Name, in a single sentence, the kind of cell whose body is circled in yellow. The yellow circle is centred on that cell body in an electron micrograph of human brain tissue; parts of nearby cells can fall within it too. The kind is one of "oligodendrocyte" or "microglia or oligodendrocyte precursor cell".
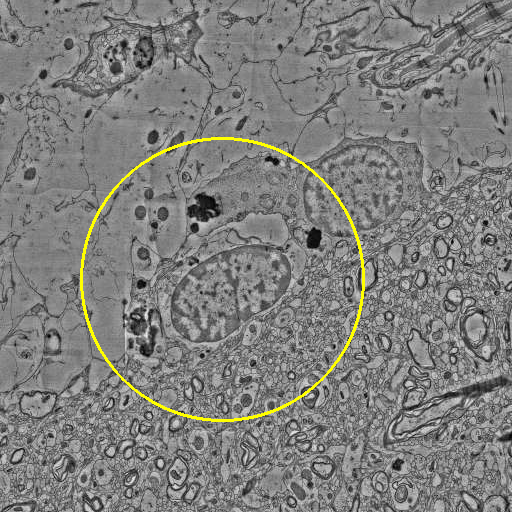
The circled cell body belongs to a microglial cell or oligodendrocyte precursor cell.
